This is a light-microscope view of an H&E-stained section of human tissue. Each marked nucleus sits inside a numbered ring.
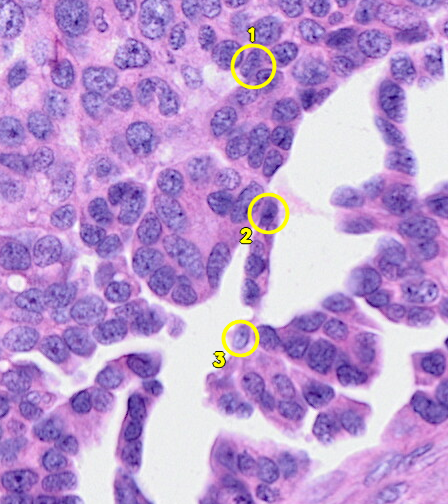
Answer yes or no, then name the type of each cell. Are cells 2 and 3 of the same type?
No, cell 2 is typed as a carcinoma cell, and cell 3 is typed as a macrophage or monocyte.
